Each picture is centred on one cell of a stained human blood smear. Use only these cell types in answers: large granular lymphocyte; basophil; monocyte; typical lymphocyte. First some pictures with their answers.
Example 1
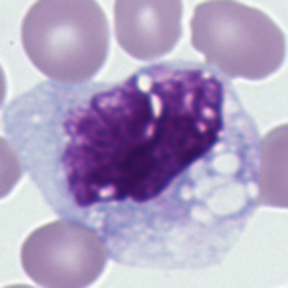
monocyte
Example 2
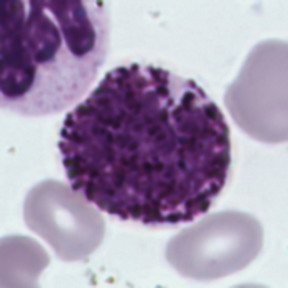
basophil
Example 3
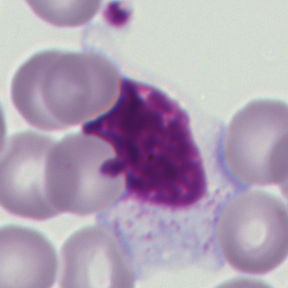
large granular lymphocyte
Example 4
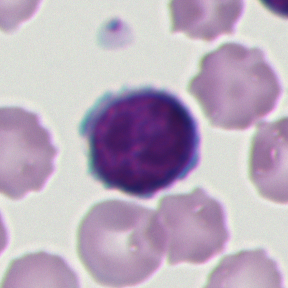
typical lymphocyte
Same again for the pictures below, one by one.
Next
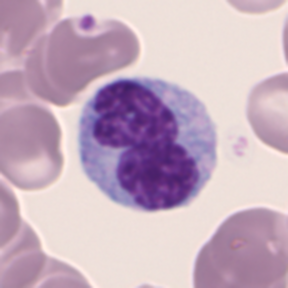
monocyte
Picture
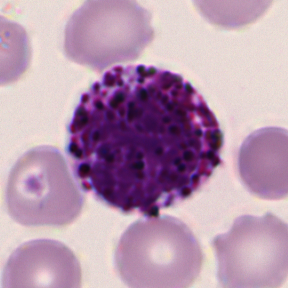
basophil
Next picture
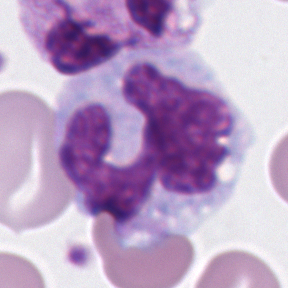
monocyte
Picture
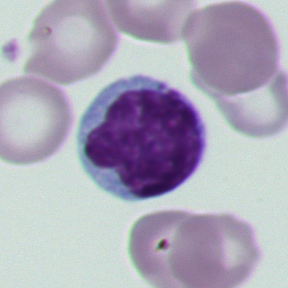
typical lymphocyte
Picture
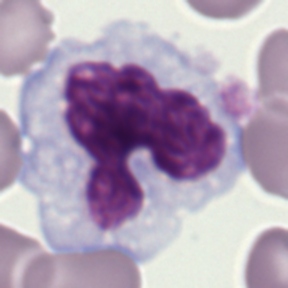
monocyte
